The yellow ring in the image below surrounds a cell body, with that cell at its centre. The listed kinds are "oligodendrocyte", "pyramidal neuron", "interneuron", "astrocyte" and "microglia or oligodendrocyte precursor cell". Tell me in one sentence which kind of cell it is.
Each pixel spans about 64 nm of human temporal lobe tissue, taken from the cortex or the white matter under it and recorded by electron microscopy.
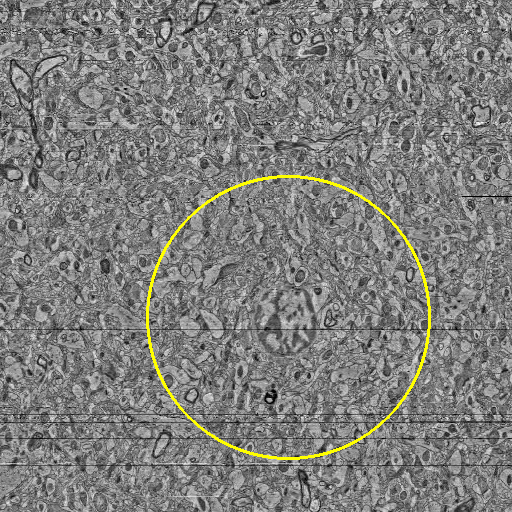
The centre of the ring holds an oligodendrocyte.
